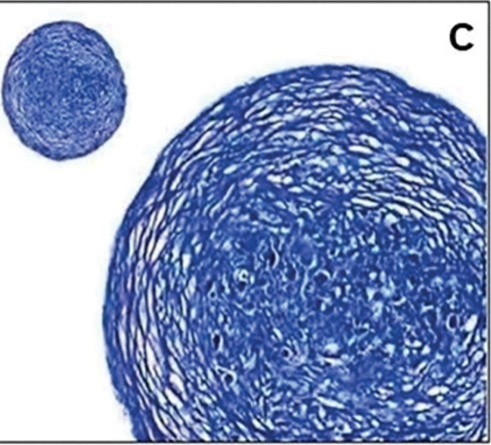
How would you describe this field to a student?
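This is a round pellet of chondrocytes, shown whole at low magnification in the inset and in part at higher magnification. The whole pellet stains an intense dark blue. At the rim the cells are flattened and elongated and lie in concentric layers parallel to the surface. Toward the centre the cells are rounder and many sit in small pale spaces within the blue-stained material.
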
